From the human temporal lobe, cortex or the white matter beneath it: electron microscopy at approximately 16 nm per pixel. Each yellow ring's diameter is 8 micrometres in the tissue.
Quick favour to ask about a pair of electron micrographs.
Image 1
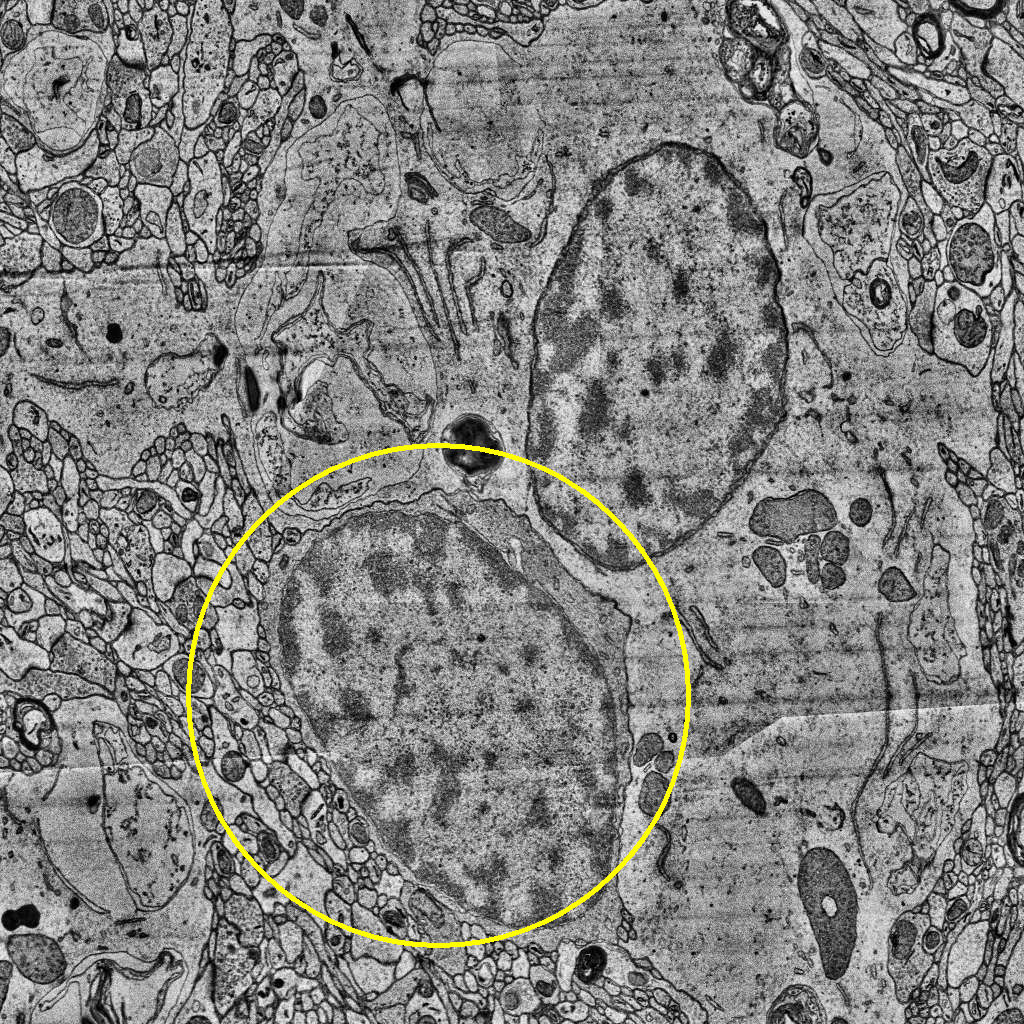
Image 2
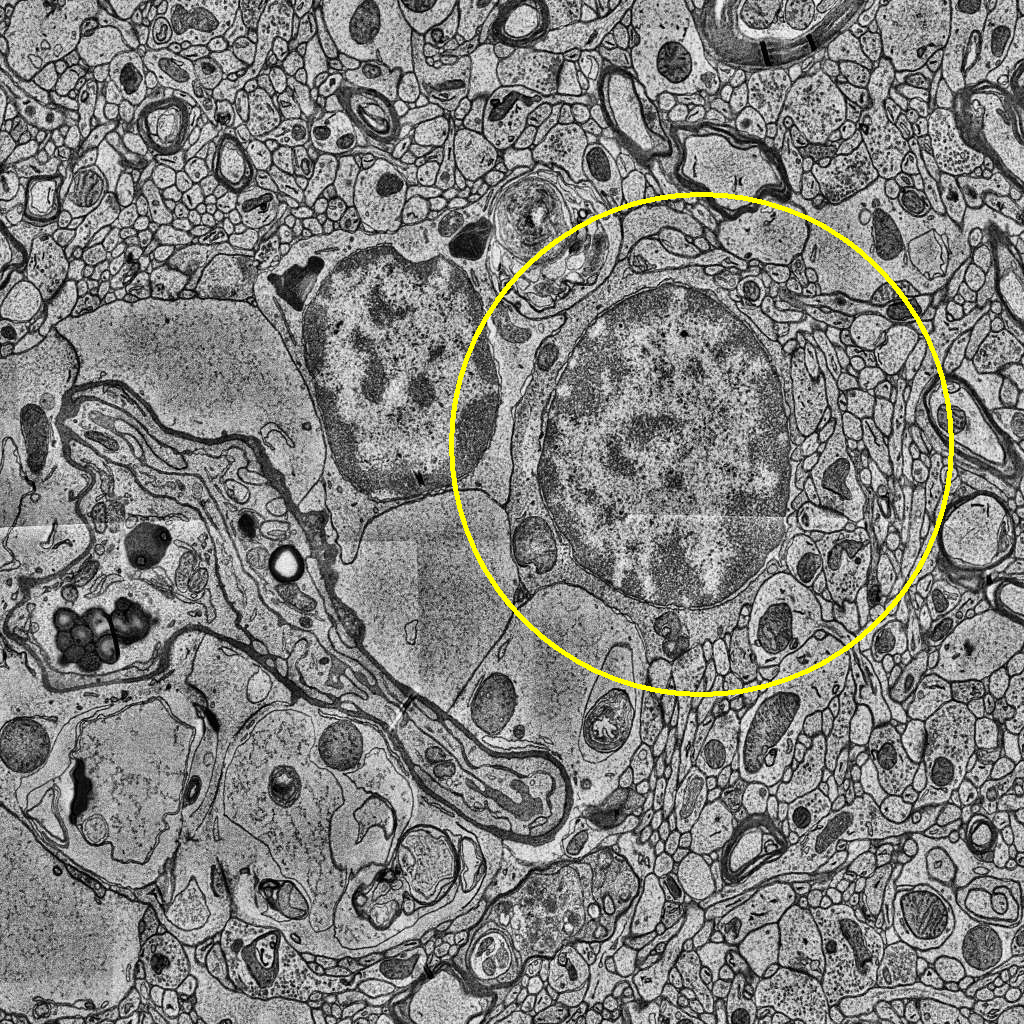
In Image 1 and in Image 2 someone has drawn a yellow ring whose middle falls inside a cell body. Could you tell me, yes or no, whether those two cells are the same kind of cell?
yes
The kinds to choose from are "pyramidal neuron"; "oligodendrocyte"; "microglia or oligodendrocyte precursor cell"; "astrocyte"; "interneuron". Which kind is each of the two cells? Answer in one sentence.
Each of the two rings surrounds an oligodendrocyte.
